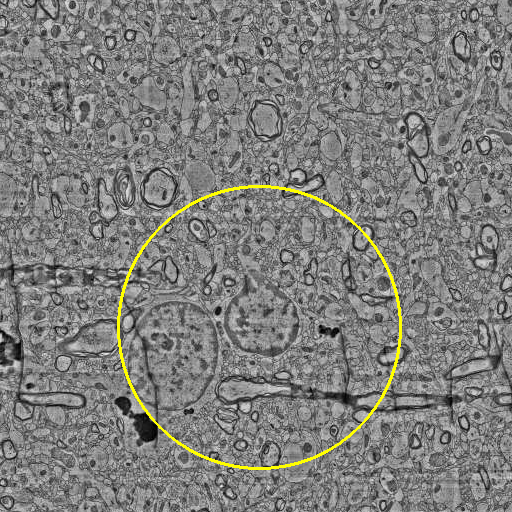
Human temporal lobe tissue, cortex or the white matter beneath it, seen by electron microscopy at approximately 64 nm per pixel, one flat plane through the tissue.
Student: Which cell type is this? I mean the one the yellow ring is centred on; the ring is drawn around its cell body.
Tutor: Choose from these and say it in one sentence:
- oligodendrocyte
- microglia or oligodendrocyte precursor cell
The cell the ring is centred on is a microglial cell or oligodendrocyte precursor cell.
